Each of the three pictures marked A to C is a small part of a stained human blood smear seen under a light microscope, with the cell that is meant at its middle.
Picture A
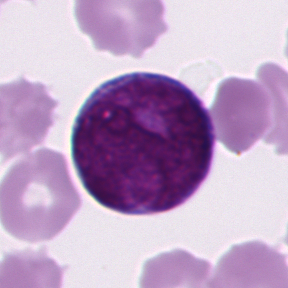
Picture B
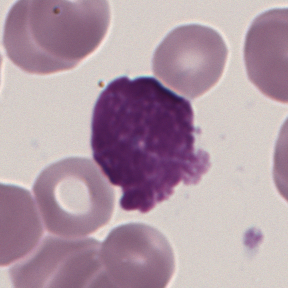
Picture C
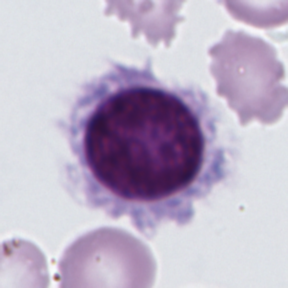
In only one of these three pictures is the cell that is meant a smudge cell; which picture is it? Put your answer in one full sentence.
The cell in picture B is the smudge cell.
